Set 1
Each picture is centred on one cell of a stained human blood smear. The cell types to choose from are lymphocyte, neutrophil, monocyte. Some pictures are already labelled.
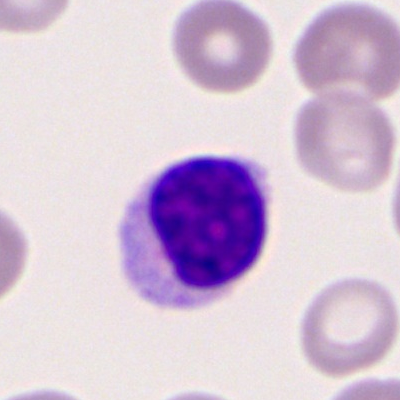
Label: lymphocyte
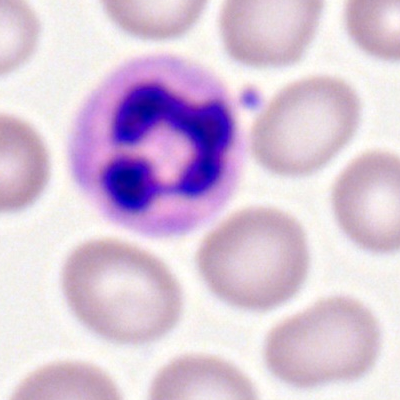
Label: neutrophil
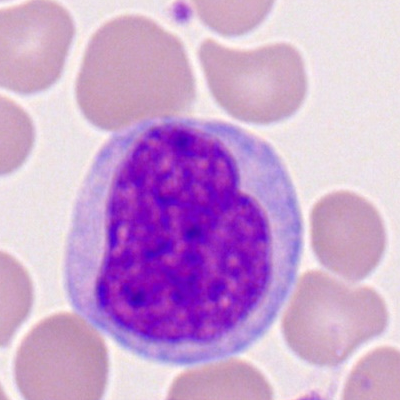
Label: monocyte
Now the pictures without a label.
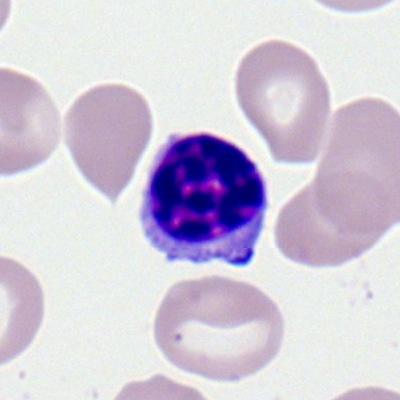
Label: lymphocyte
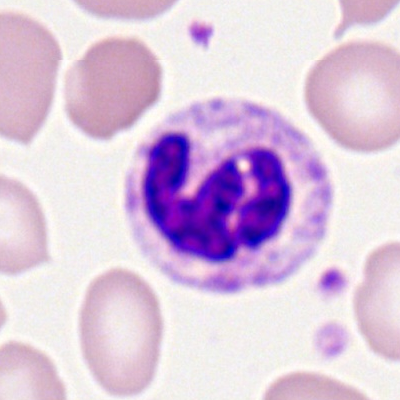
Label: neutrophil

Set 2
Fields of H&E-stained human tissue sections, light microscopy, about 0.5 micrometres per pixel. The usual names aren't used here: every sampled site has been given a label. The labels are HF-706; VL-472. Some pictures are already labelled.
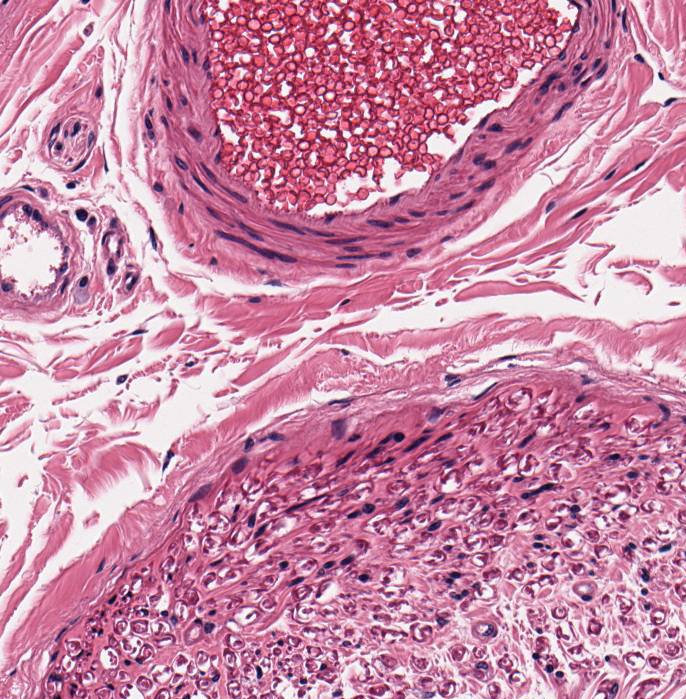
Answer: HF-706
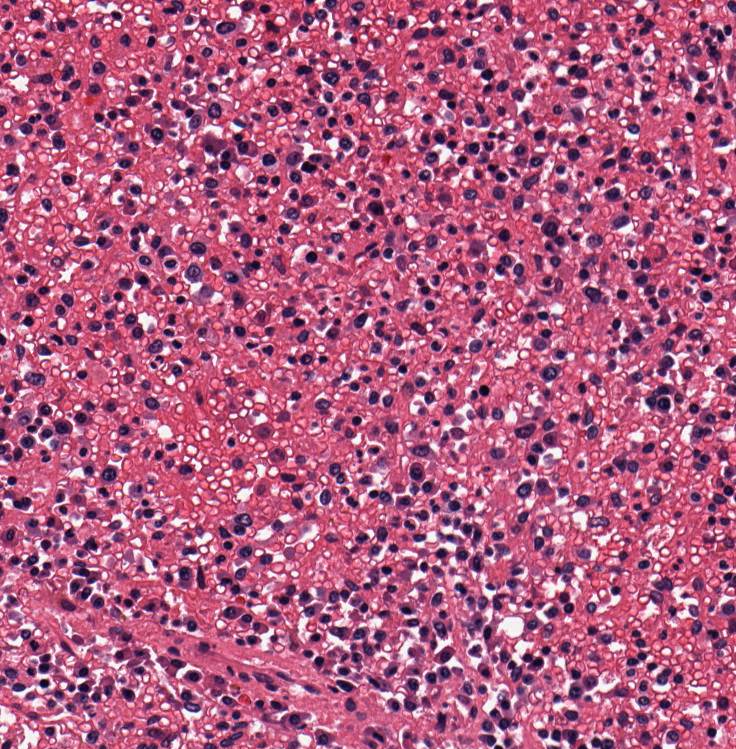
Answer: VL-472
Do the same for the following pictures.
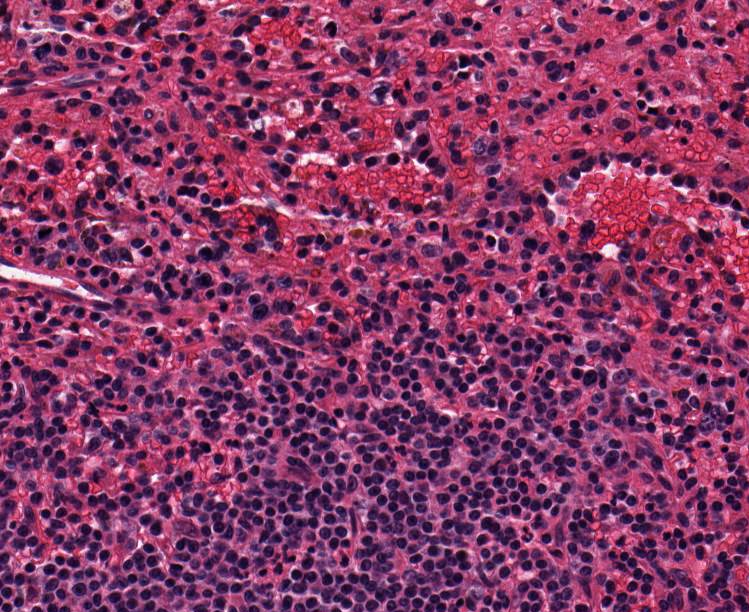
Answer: VL-472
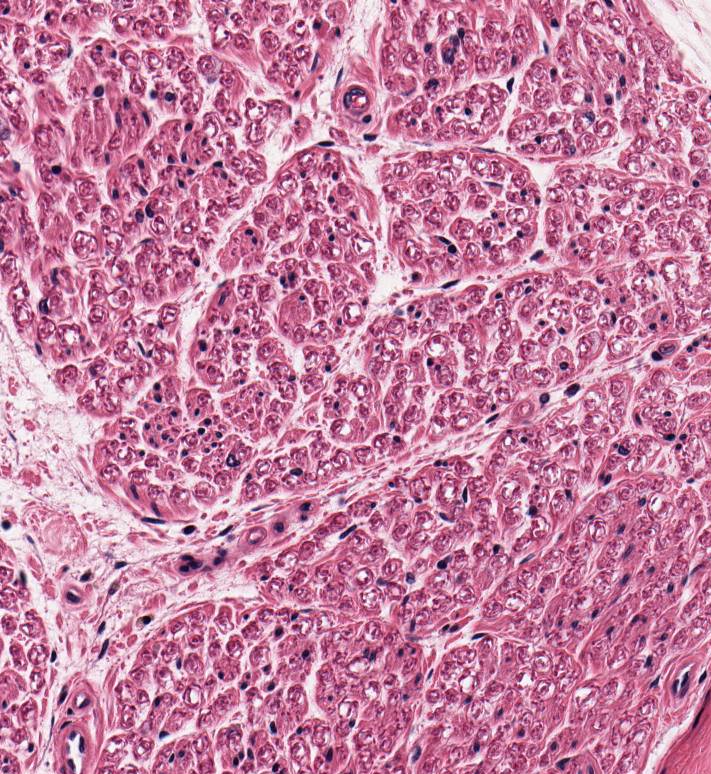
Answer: HF-706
